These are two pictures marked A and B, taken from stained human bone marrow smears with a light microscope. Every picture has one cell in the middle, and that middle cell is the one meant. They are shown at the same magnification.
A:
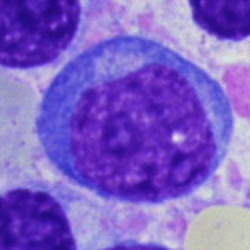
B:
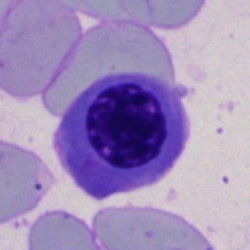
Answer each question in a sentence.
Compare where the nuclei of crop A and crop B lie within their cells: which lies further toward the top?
The nucleus in crop B lies further toward the top of its cell.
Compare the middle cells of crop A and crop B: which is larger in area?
The cell in crop A is larger, with about 2 times the area of the one in crop B.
